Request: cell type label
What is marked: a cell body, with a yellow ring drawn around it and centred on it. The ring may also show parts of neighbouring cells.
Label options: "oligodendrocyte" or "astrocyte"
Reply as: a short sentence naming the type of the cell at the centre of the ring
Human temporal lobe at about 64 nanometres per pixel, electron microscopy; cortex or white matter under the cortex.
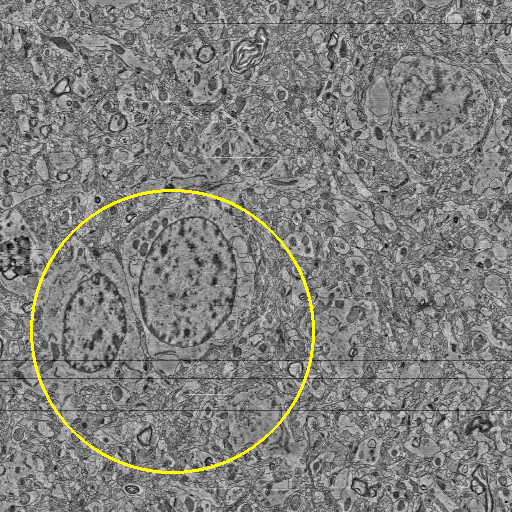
The marked cell body is that of an astrocyte.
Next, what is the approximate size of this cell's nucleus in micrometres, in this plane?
The nucleus works out at approximately 9 by 6 micrometres in this plane.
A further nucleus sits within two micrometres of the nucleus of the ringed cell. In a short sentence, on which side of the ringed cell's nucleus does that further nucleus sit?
The other nucleus can be seen to the lower left of it.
